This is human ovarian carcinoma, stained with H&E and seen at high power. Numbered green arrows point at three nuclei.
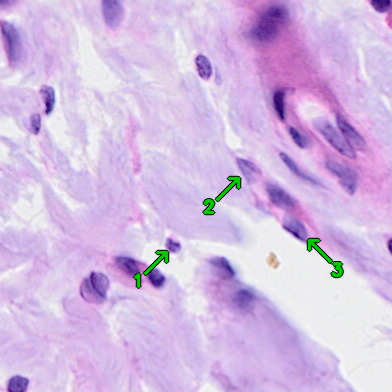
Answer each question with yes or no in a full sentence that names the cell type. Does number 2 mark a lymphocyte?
No, cell 2 should be classed as a fibroblast, not as a lymphocyte.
